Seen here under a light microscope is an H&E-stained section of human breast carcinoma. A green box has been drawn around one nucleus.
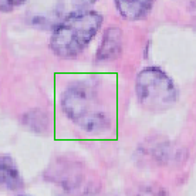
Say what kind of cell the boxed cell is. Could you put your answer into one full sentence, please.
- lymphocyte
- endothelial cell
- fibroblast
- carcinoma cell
Microscopically, the boxed cell is categorized as a carcinoma cell.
